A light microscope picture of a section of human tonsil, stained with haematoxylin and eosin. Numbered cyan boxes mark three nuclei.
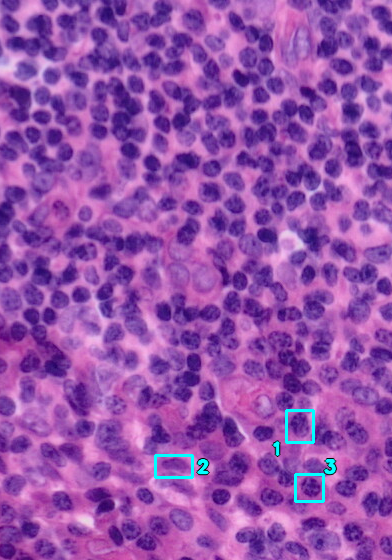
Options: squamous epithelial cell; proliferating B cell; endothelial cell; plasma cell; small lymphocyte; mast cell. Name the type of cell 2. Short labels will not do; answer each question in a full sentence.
Among the marked nuclei, number 2 belongs to a squamous epithelial cell.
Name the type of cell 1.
Classified as a plasma cell is the cell with the number 1.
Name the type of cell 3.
Cell 3 is classified as a plasma cell.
